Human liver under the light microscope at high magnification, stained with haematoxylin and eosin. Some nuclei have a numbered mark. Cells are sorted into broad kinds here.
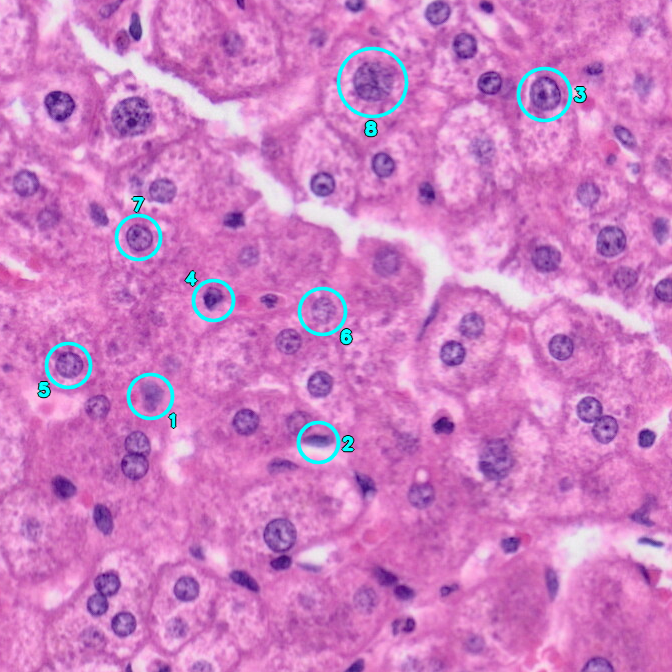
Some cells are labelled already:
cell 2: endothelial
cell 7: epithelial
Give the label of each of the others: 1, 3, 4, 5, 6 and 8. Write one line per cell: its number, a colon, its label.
1: endothelial
3: epithelial
4: endothelial
5: epithelial
6: epithelial
8: epithelial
